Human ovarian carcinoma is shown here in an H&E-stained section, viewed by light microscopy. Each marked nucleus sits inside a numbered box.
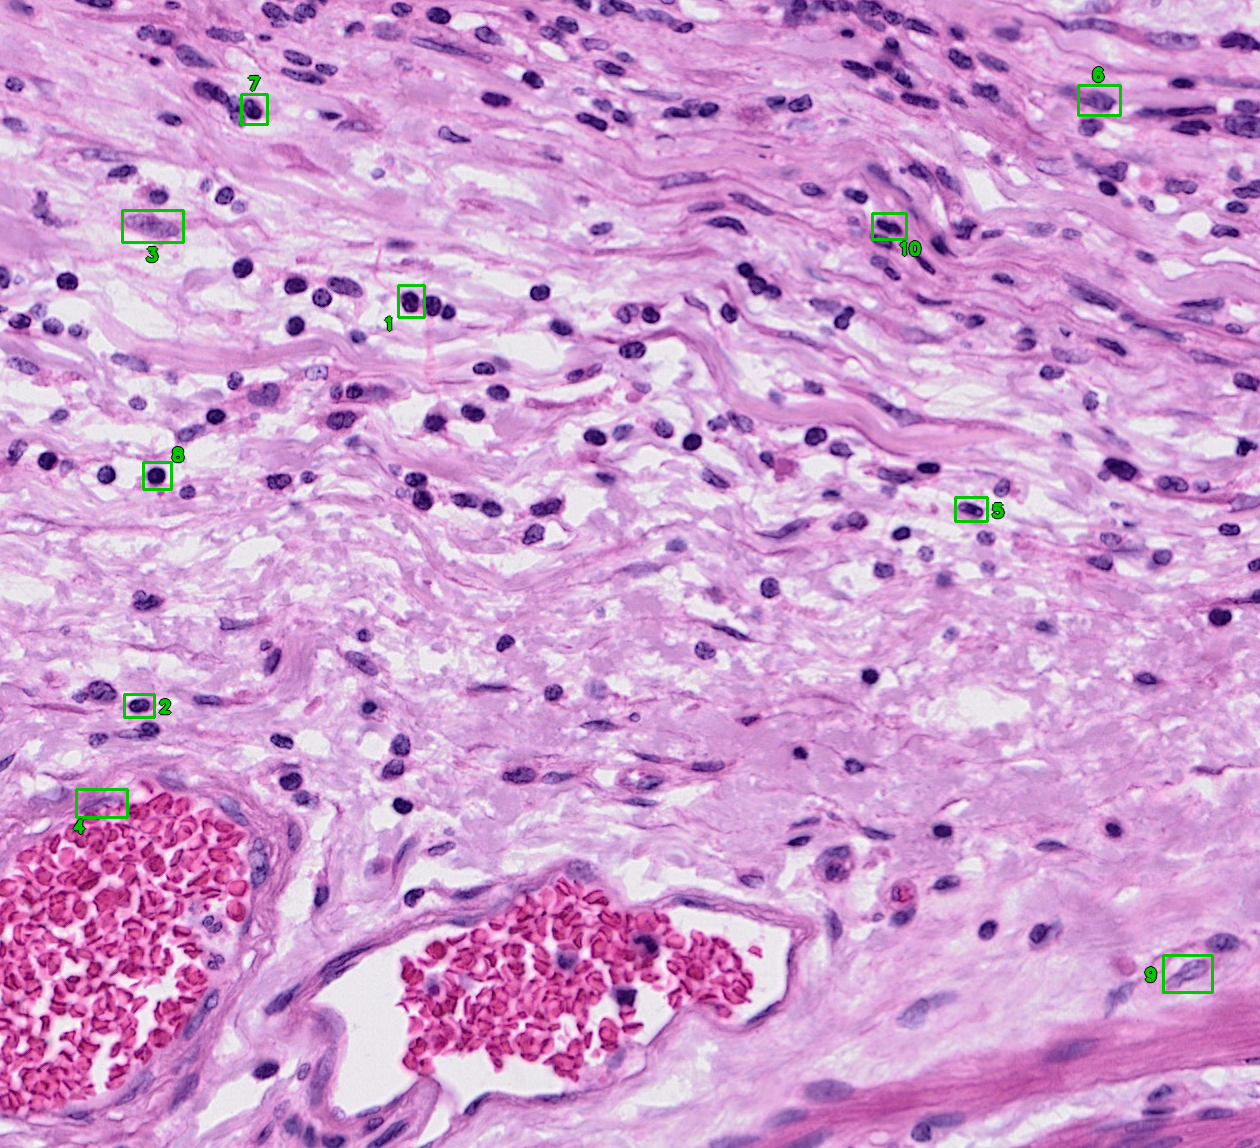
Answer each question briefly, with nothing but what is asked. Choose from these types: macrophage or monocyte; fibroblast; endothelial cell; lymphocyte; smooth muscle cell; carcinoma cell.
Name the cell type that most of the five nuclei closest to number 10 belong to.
macrophage or monocyte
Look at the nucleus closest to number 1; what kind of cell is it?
lymphocyte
